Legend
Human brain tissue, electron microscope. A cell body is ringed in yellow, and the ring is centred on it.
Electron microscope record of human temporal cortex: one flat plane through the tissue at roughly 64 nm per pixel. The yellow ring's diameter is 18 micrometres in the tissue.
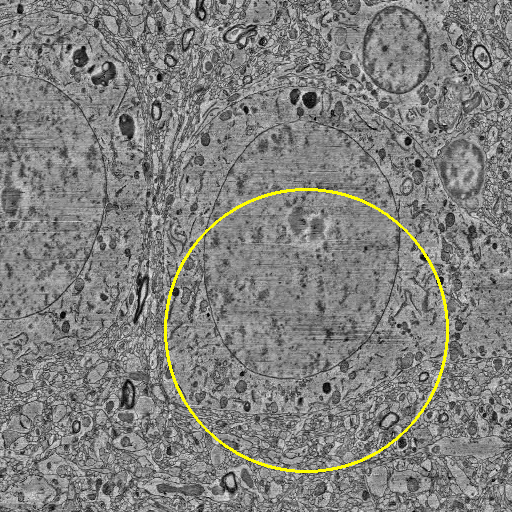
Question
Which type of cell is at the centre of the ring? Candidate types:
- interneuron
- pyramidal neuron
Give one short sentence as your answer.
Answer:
The yellow ring is centred here on a pyramidal neuron.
